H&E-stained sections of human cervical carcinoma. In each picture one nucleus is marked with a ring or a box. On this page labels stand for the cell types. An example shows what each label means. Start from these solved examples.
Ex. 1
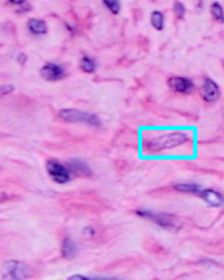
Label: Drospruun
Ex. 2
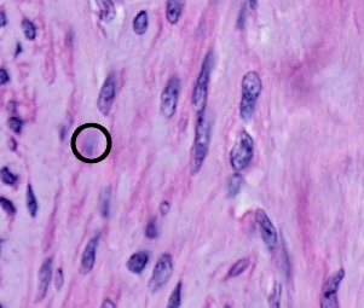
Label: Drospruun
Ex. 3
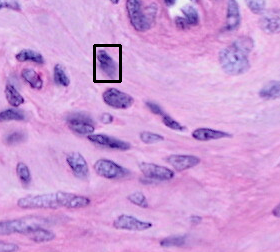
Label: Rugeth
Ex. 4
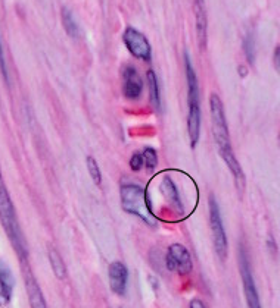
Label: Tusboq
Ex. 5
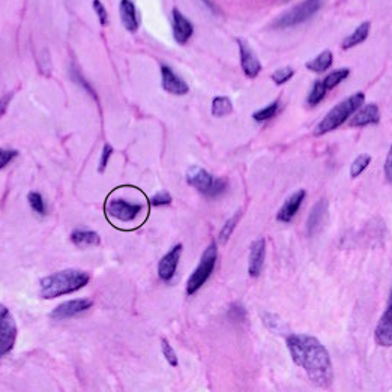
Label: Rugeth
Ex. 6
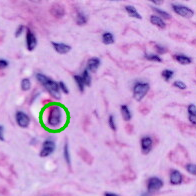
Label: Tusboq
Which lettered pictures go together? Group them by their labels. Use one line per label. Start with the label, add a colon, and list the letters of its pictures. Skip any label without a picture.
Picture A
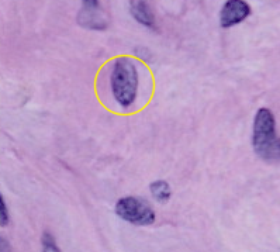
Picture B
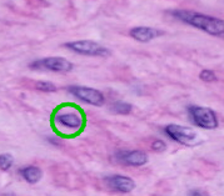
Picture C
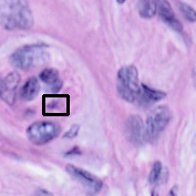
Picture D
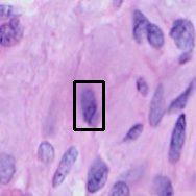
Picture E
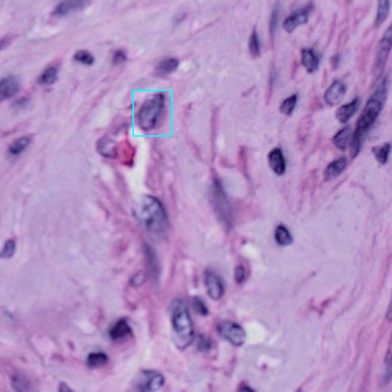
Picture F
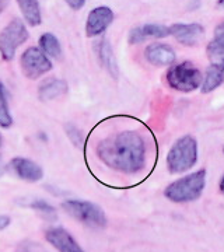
Drospruun: B
Rugeth: A, D
Tusboq: C, E, F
